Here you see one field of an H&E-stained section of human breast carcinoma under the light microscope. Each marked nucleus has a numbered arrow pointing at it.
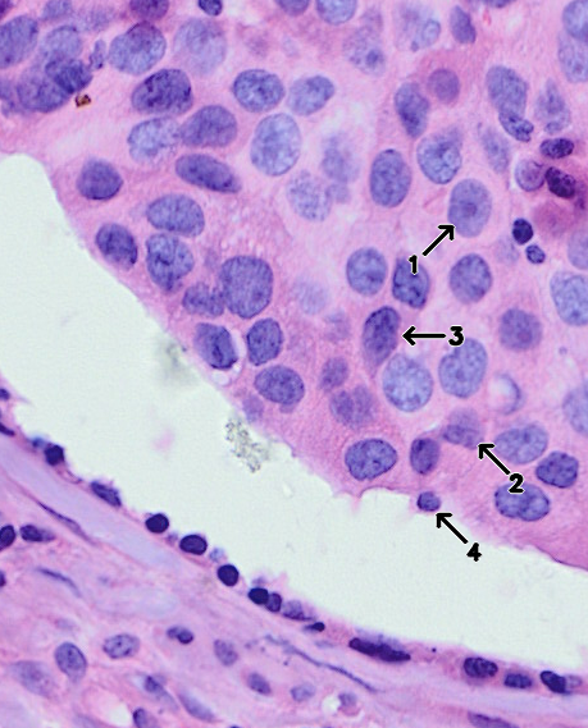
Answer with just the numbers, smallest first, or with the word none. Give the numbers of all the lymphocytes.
4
